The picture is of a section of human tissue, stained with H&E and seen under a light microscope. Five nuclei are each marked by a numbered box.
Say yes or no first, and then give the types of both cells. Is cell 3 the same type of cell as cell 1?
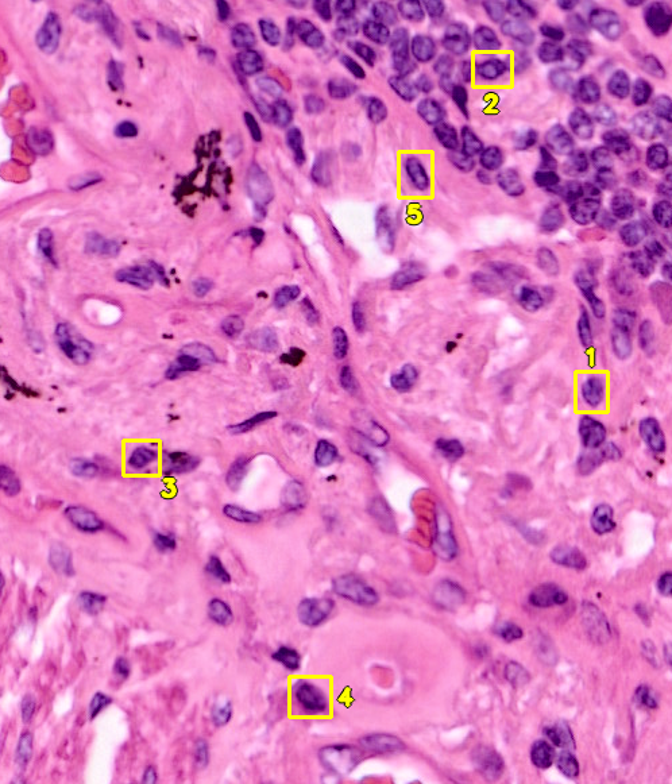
No, unlike cell 3, which is a plasma cell, cell 1 is a lymphocyte.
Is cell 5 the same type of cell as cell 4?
No, not so; cell 5 is a lymphocyte and cell 4 is a plasma cell.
